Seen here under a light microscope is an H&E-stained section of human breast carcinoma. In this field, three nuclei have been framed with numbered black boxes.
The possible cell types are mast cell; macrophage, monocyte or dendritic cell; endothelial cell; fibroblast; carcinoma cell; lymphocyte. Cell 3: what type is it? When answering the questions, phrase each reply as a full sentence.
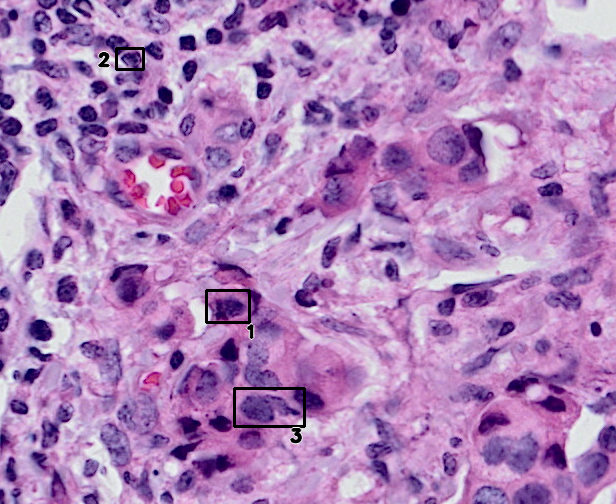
The cell whose nucleus carries the number 3 is a carcinoma cell.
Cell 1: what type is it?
The cell to which the number 1 is assigned is a carcinoma cell.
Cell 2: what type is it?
The nucleus labelled 2 belongs to a lymphocyte.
